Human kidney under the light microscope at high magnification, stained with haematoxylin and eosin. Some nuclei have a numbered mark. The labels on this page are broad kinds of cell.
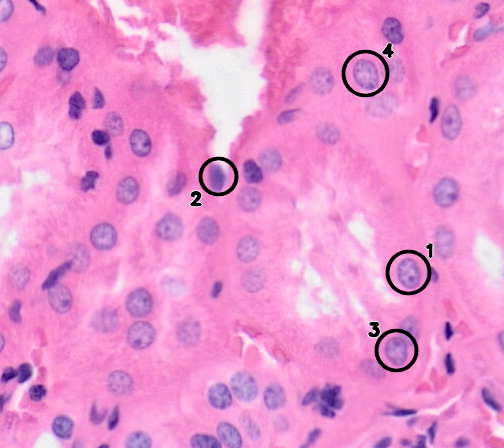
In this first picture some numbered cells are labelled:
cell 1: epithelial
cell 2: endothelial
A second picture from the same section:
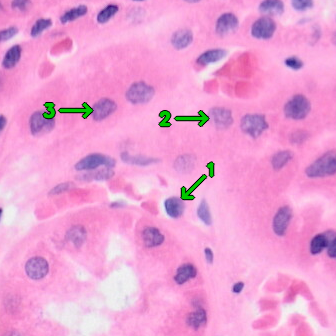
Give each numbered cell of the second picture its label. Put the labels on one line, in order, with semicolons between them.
endothelial; epithelial; epithelial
